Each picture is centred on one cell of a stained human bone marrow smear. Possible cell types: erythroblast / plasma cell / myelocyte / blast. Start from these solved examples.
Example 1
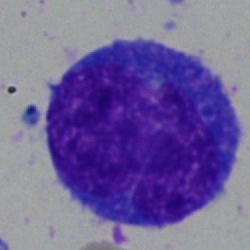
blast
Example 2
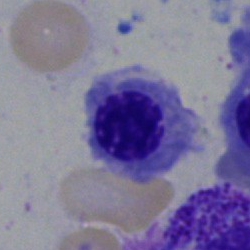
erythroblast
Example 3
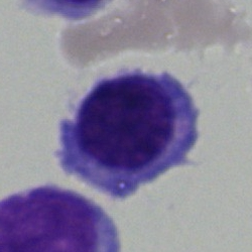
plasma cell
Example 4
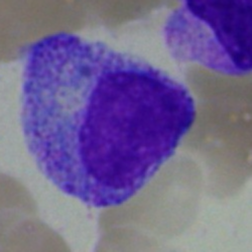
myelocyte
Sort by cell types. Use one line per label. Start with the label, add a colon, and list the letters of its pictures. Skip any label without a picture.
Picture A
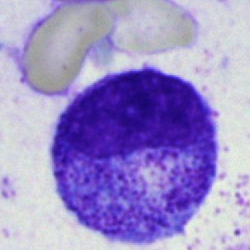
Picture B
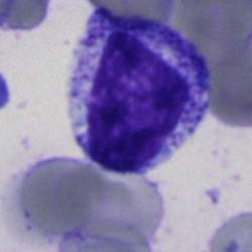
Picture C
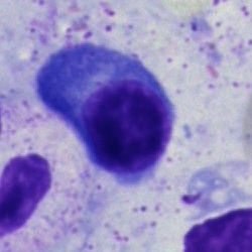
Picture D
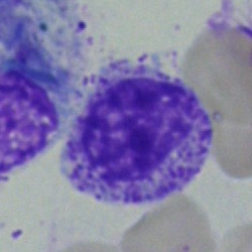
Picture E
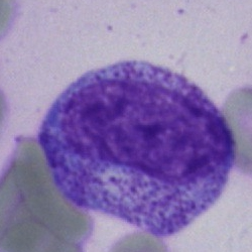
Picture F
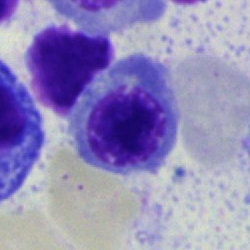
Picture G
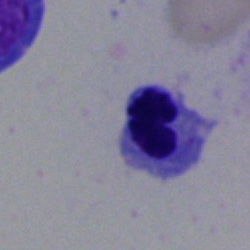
erythroblast: F, G
plasma cell: C
myelocyte: A, B, D, E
